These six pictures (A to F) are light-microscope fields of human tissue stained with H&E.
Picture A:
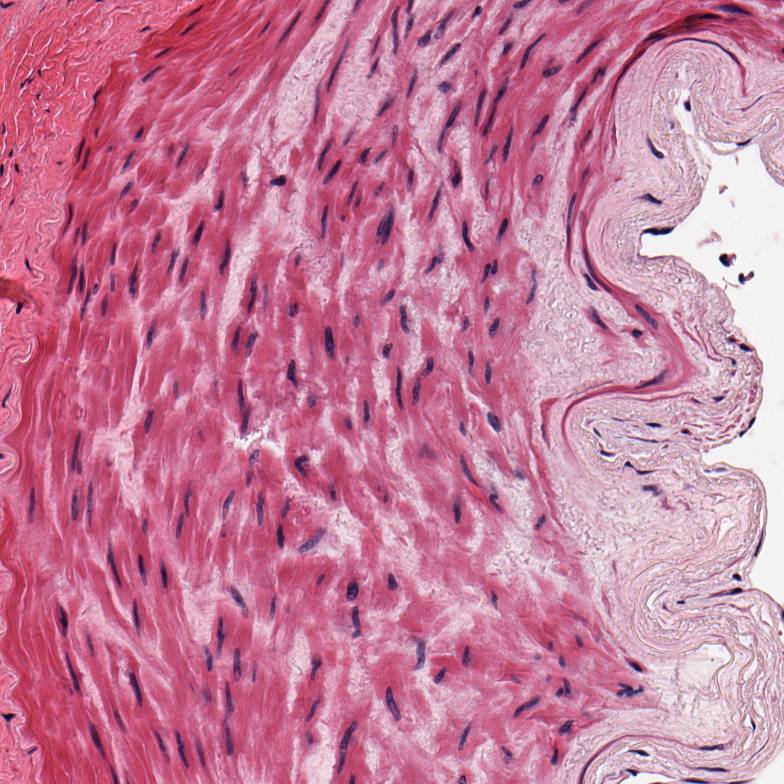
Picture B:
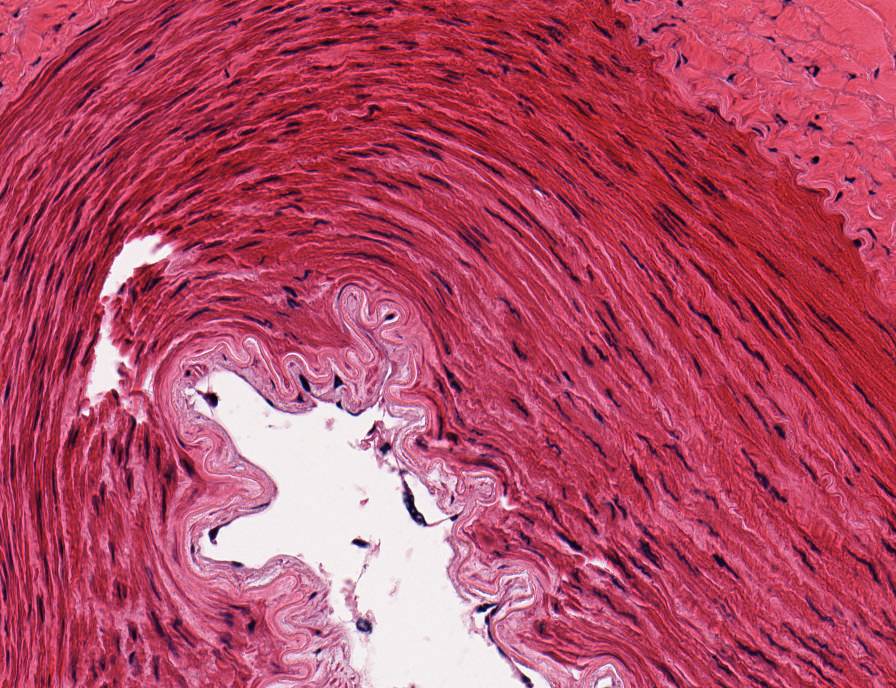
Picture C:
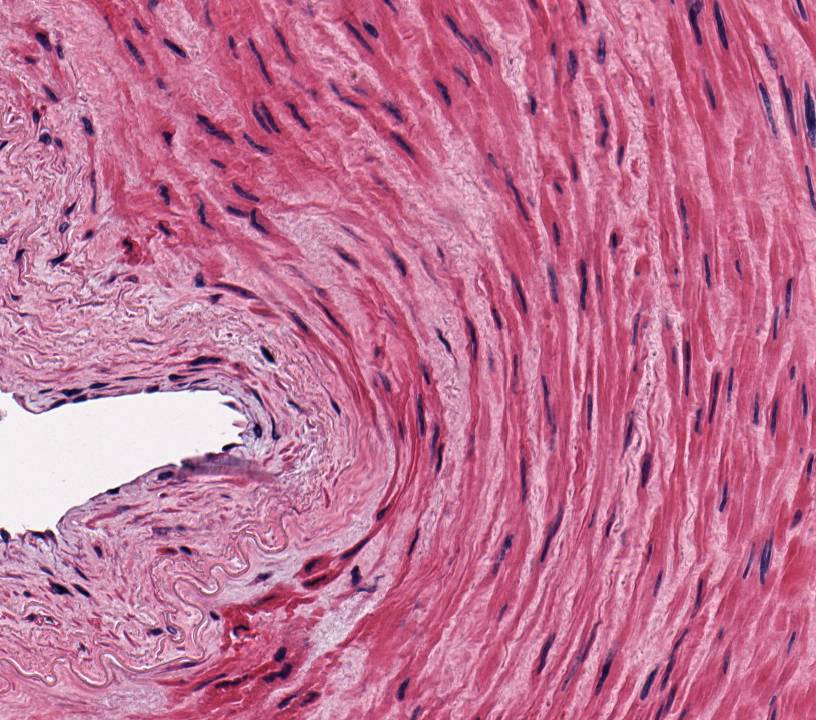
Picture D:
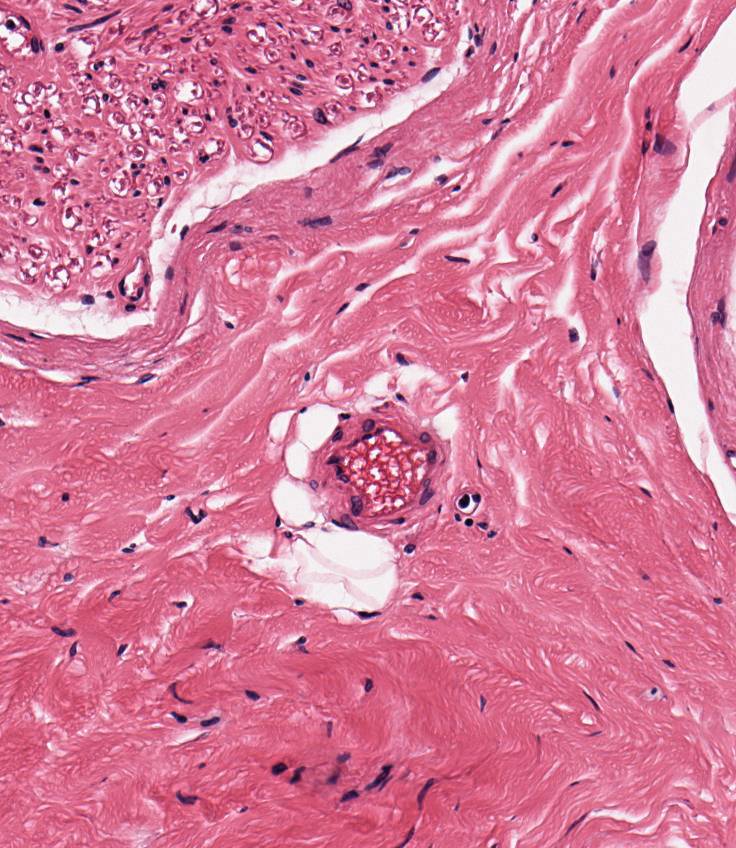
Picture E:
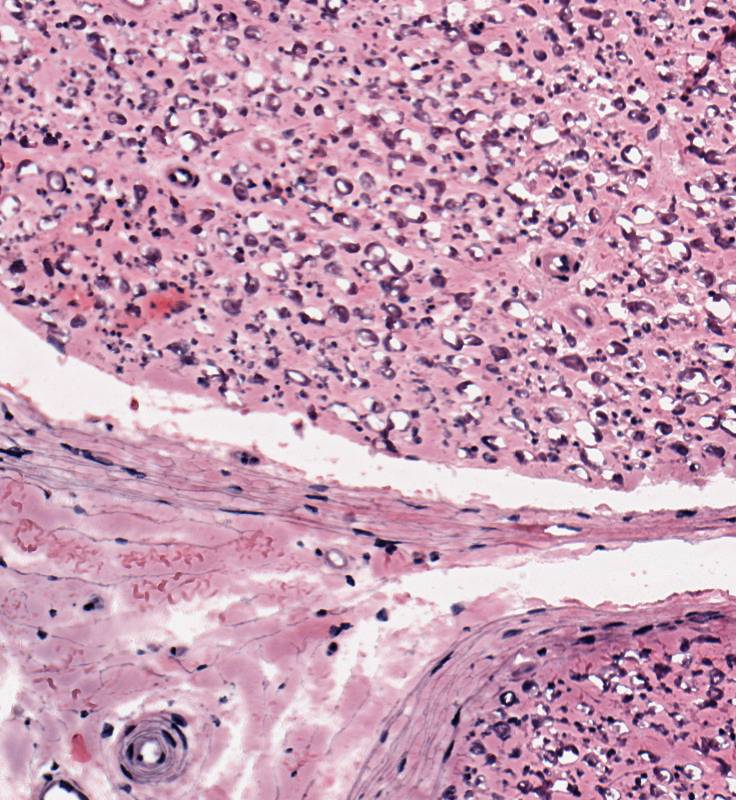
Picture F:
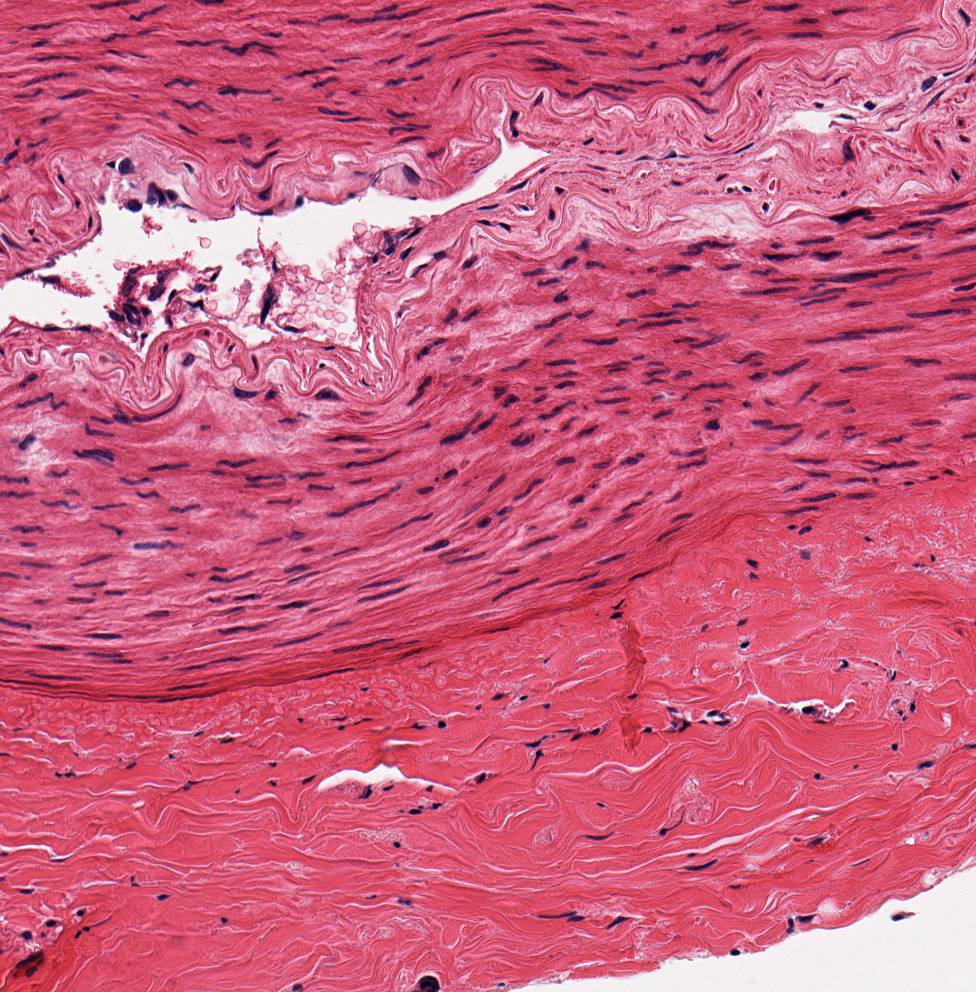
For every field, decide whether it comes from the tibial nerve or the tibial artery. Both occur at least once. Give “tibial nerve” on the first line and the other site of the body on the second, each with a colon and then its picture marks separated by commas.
tibial nerve: D, E
tibial artery: A, B, C, F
